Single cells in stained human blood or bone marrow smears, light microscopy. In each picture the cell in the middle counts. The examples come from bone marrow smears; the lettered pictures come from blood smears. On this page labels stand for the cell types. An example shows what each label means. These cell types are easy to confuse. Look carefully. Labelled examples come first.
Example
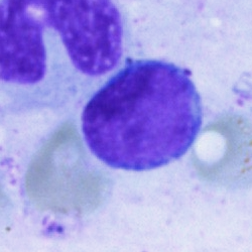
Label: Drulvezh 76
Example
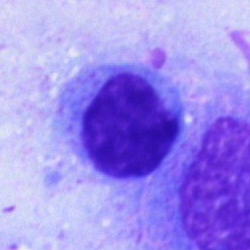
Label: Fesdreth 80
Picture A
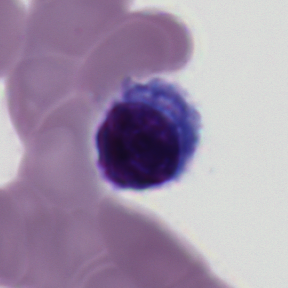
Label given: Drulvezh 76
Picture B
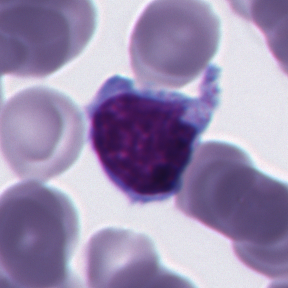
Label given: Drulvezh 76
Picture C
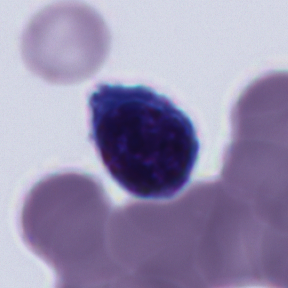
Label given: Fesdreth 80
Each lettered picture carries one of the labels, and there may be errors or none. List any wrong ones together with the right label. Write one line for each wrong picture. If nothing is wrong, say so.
A should be Fesdreth 80, not Drulvezh 76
